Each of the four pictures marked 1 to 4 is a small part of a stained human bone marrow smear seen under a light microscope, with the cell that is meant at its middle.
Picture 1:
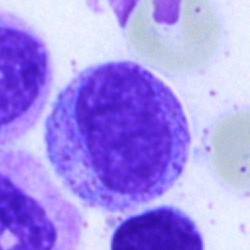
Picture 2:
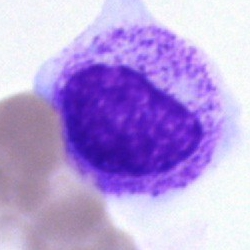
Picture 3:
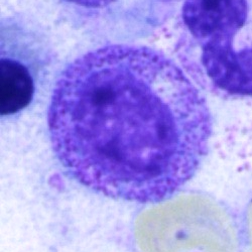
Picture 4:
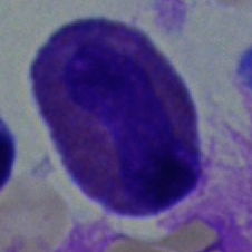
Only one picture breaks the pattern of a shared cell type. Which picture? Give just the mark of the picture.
4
